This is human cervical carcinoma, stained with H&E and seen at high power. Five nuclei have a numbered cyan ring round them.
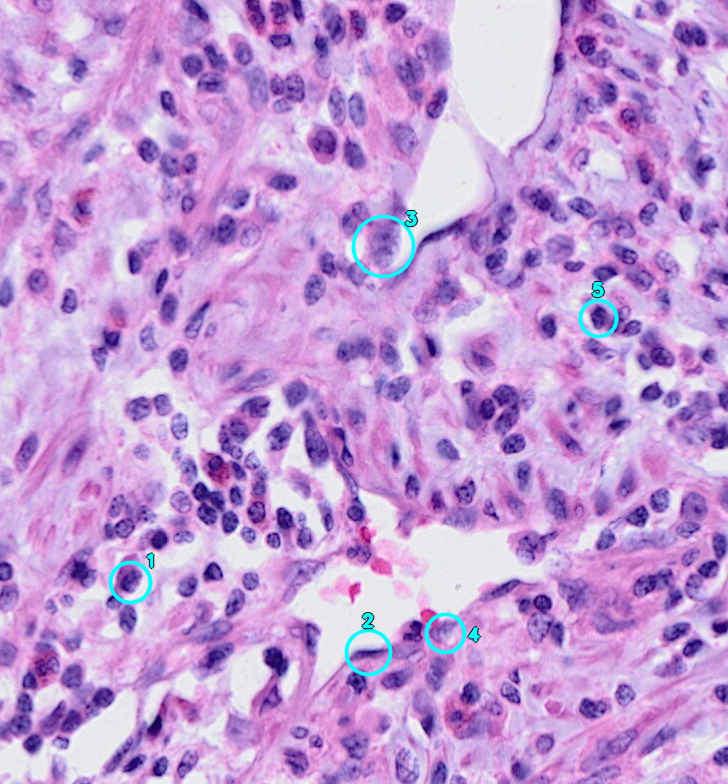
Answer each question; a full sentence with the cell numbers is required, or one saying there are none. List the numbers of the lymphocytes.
The cells with labels 1 and 5 are lymphocytes.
